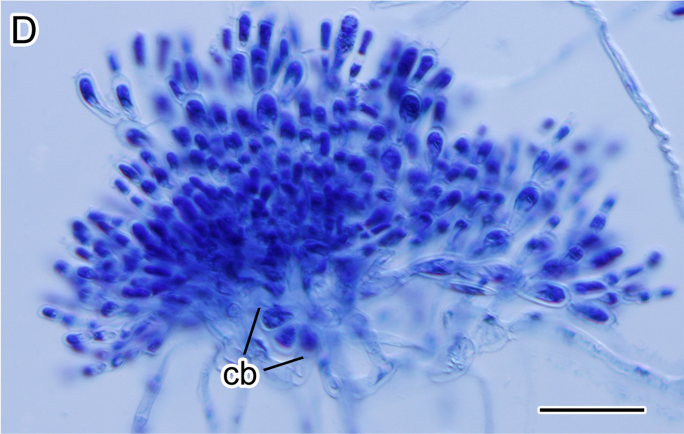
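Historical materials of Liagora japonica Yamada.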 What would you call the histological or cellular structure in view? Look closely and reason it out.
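Mature carposporophyte. A broad, fan-shaped cluster of branched filaments fills the centre. Many filament tips end in dark blue, oval cells. The cluster is loose and spreading rather than compact.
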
